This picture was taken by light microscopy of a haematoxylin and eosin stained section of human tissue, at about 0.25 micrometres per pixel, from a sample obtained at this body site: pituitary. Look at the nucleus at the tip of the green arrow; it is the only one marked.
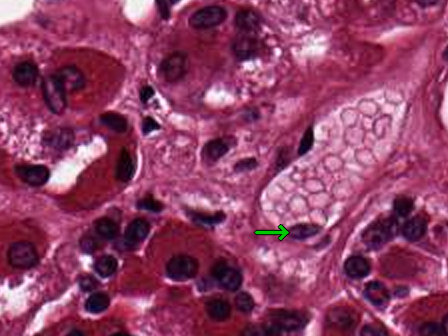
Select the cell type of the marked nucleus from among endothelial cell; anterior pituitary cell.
endothelial cell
